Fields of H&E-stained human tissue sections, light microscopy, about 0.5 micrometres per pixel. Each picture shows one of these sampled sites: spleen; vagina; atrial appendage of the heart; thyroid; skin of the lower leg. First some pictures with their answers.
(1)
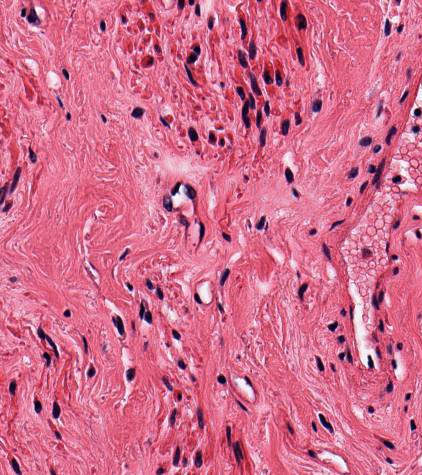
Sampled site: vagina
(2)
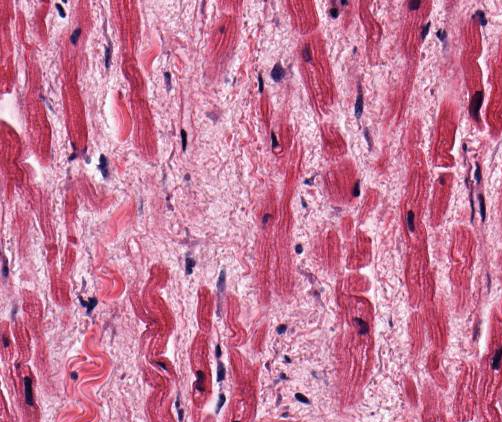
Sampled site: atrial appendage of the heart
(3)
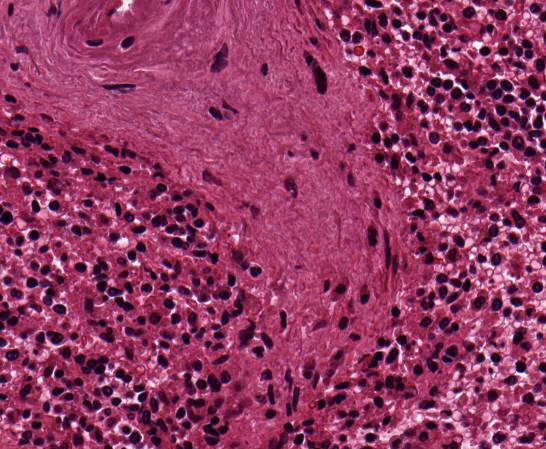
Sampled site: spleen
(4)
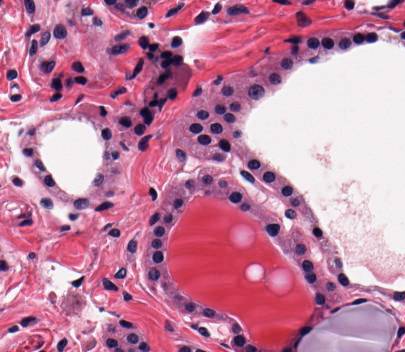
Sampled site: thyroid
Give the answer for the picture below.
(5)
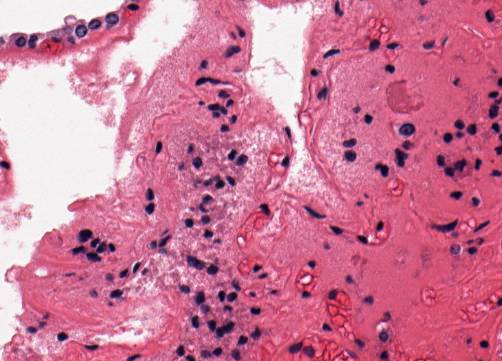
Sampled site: thyroid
